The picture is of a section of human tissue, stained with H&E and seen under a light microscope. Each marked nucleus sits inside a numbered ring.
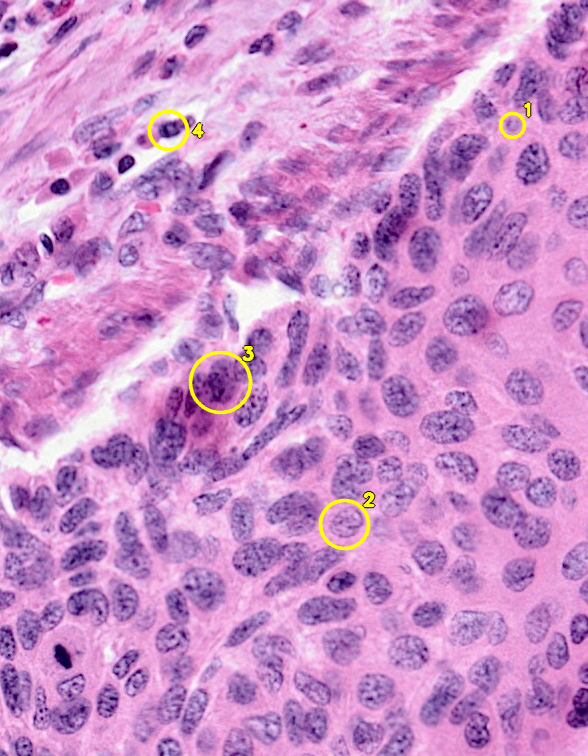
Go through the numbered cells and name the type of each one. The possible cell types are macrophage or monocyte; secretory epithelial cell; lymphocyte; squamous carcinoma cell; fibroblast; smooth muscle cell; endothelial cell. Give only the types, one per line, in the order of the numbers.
squamous carcinoma cell
squamous carcinoma cell
squamous carcinoma cell
lymphocyte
